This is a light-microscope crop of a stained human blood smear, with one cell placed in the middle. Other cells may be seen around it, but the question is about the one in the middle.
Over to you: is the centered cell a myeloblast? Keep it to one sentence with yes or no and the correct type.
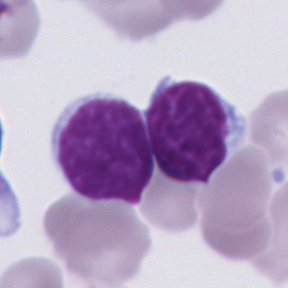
Yes, the identification of the central cell as a myeloblast is correct.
